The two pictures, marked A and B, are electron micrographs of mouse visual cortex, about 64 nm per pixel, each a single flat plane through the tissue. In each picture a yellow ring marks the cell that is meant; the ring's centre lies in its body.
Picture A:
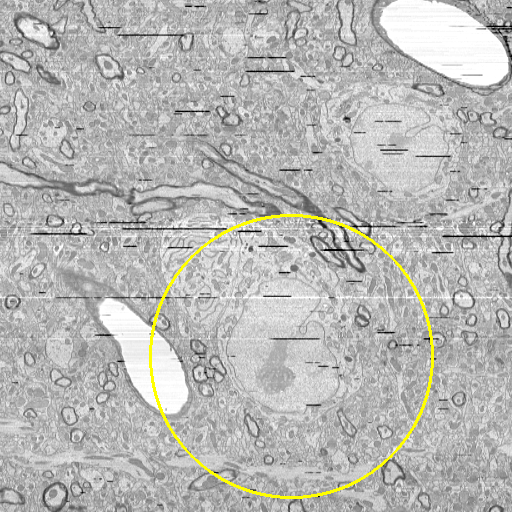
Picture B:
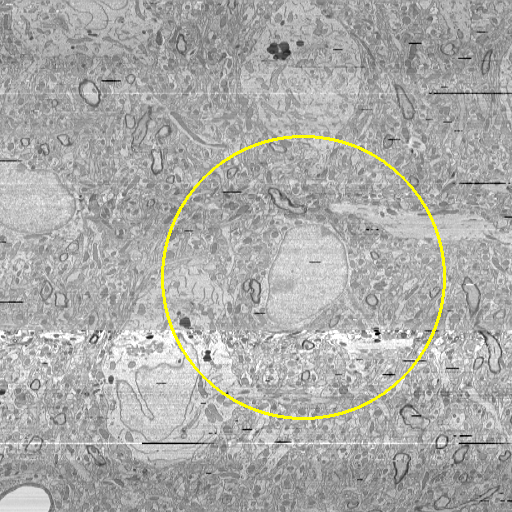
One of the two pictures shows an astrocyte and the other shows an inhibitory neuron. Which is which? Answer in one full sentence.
It is picture A that shows an inhibitory neuron, and picture B that shows an astrocyte.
